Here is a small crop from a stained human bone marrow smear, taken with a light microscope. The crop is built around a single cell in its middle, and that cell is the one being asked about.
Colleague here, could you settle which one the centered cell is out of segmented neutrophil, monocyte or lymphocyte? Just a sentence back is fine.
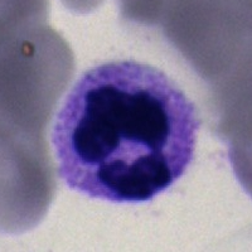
At the crop's centre, the cell is a segmented neutrophil.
